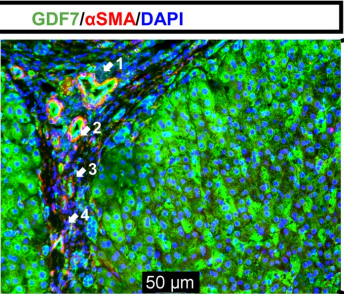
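This is liver tissue in which a band of connective tissue with densely packed, elongated blue nuclei runs diagonally past a large field of hepatocytes. The hepatocytes are large polygonal cells with round blue nuclei and cytoplasm diffusely stained green. Within the band lie small vessels and tubular profiles whose walls are rimmed red and green, some overlapping as yellow, marked by white arrows. Thin red streaks also follow the spindle-shaped cells in the band.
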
